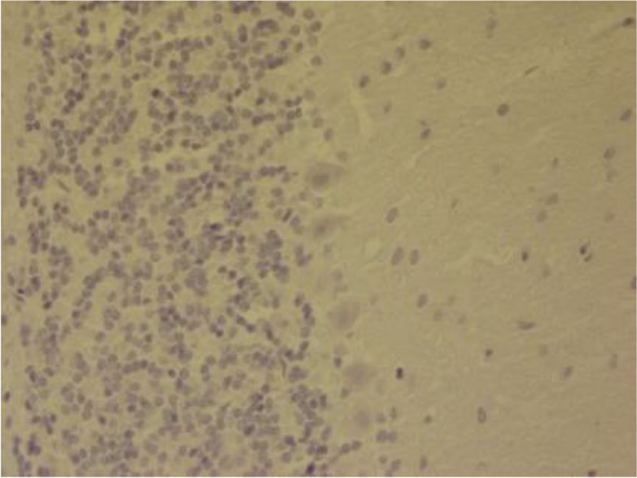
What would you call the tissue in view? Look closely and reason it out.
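A densely packed layer of small round violet nuclei fills the left side. A pale layer with sparse scattered nuclei fills the right side. A sharp border separates the two layers. On this evidence: cerebellum.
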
